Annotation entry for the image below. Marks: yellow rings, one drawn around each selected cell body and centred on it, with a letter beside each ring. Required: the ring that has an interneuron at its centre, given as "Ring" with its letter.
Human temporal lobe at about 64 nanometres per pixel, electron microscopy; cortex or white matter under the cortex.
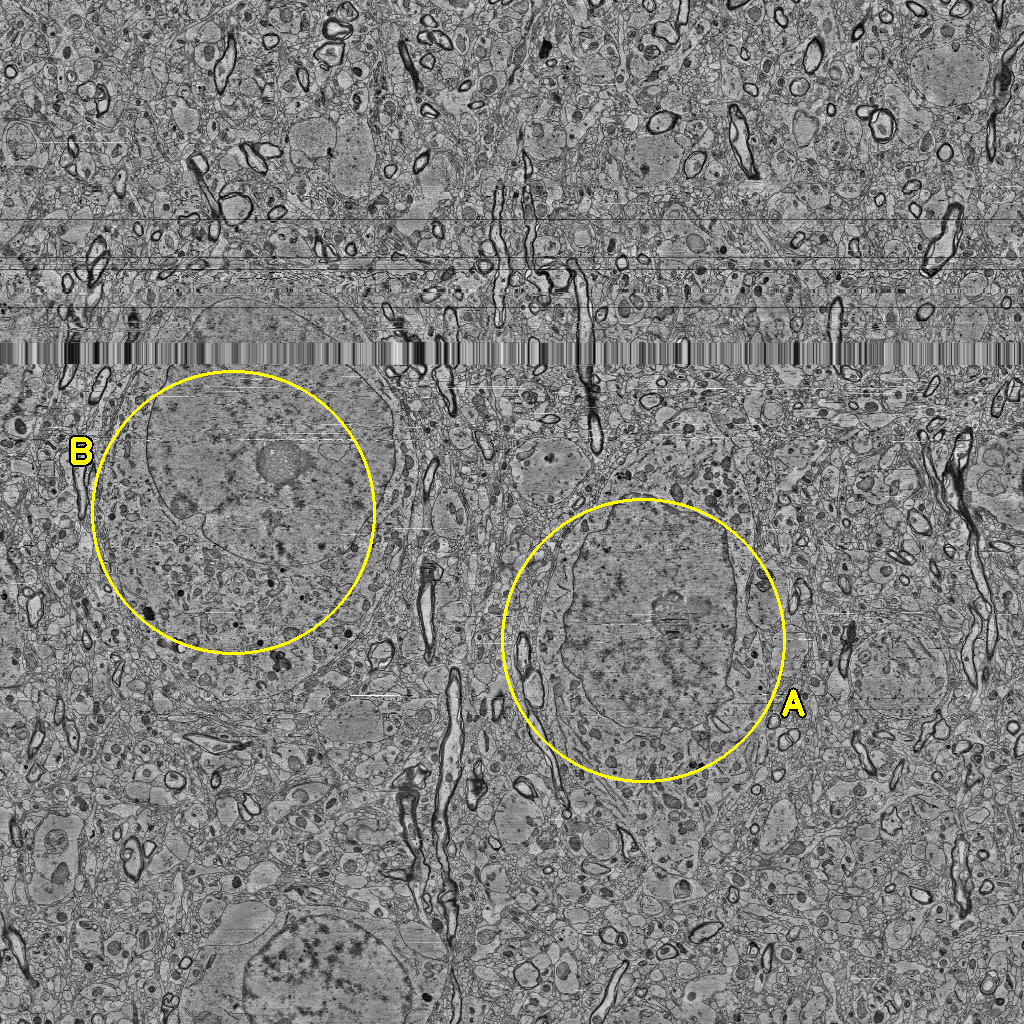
Ring A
